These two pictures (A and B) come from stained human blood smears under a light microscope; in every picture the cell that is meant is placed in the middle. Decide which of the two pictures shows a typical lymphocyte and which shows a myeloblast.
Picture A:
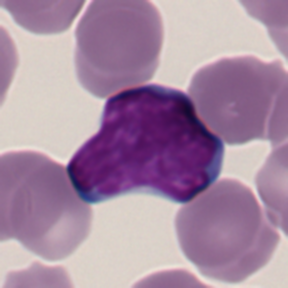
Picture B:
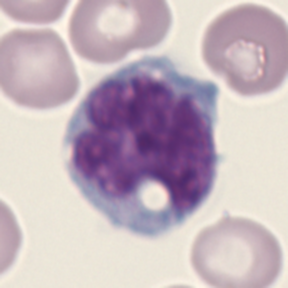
A: typical lymphocyte
B: myeloblast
